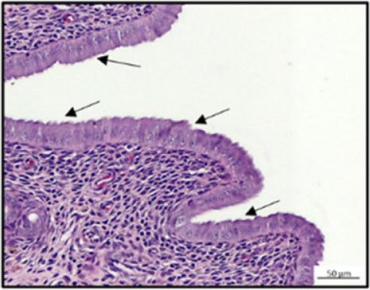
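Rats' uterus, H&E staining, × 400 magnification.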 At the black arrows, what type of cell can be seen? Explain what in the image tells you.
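Ciliated cells. The arrows point at the luminal surface of the epithelium lining the cavity. The lining is a single layer of tall columnar cells with elongated nuclei.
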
